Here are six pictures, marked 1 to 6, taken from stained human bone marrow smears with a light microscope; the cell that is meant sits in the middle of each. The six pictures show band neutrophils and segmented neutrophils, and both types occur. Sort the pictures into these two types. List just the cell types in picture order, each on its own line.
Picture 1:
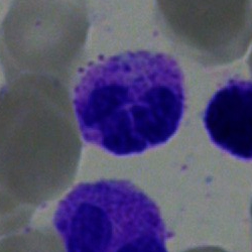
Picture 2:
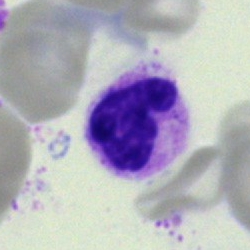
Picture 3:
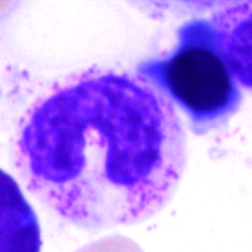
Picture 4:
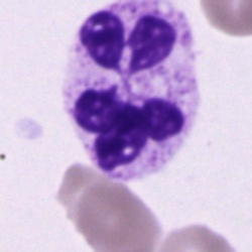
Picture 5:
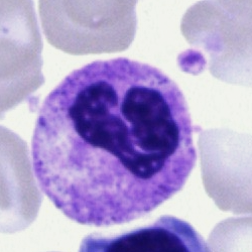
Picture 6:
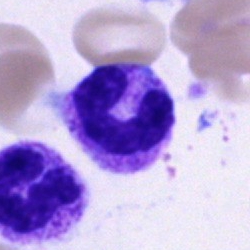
segmented neutrophil
segmented neutrophil
band neutrophil
segmented neutrophil
segmented neutrophil
band neutrophil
